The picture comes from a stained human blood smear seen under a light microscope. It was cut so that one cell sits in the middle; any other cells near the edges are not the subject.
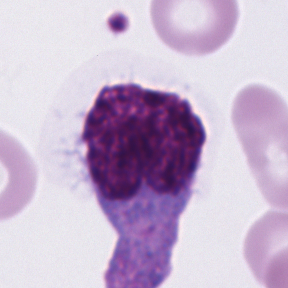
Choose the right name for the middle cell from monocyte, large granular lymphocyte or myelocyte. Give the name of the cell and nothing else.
monocyte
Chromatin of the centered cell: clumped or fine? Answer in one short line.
This nucleus has coarsely clumped chromatin.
